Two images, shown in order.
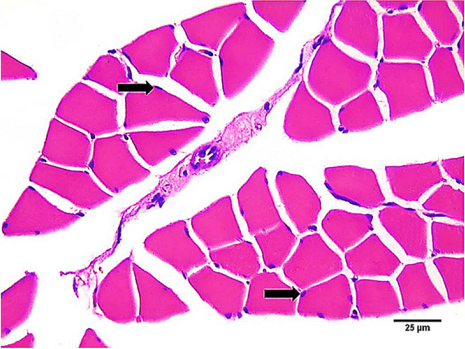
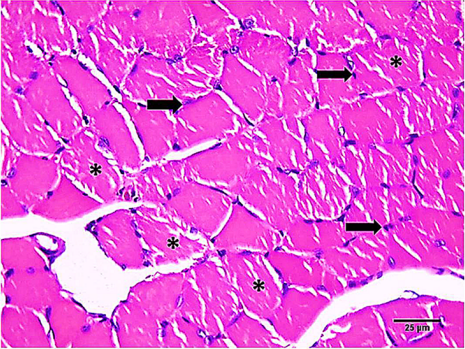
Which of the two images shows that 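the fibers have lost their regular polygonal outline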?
the second image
